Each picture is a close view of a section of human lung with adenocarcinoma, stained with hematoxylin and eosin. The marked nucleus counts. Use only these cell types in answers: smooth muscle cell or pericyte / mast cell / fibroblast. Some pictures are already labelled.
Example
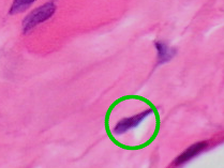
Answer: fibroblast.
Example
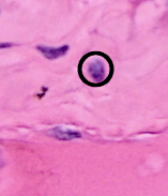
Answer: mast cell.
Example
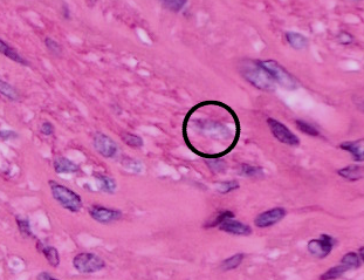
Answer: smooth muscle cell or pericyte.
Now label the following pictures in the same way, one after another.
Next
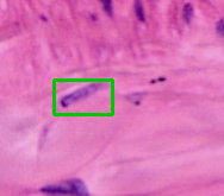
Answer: fibroblast.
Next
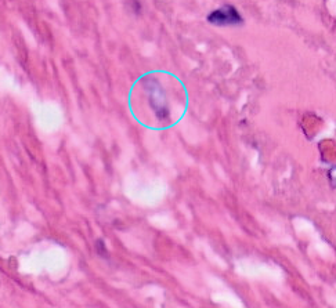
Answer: smooth muscle cell or pericyte.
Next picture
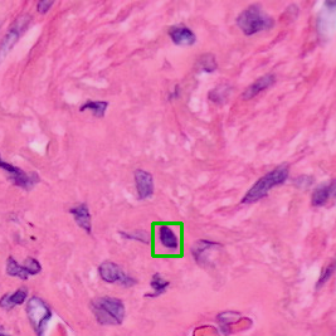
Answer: mast cell.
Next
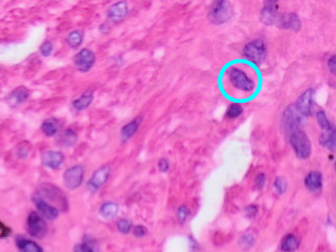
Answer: mast cell.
